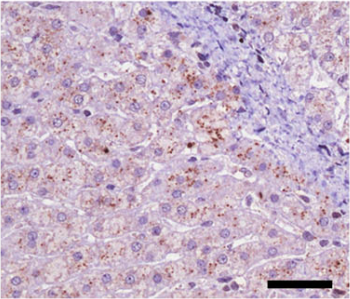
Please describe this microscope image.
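Coarse brown granules are dotted throughout the cytoplasm of many hepatocytes. At the right edge a band of tissue with densely packed small blue nuclei and no hepatocytes borders the liver cells, like a fibrous or inflamed tract. The hepatocytes nearest that band carry some of the densest brown granules.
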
